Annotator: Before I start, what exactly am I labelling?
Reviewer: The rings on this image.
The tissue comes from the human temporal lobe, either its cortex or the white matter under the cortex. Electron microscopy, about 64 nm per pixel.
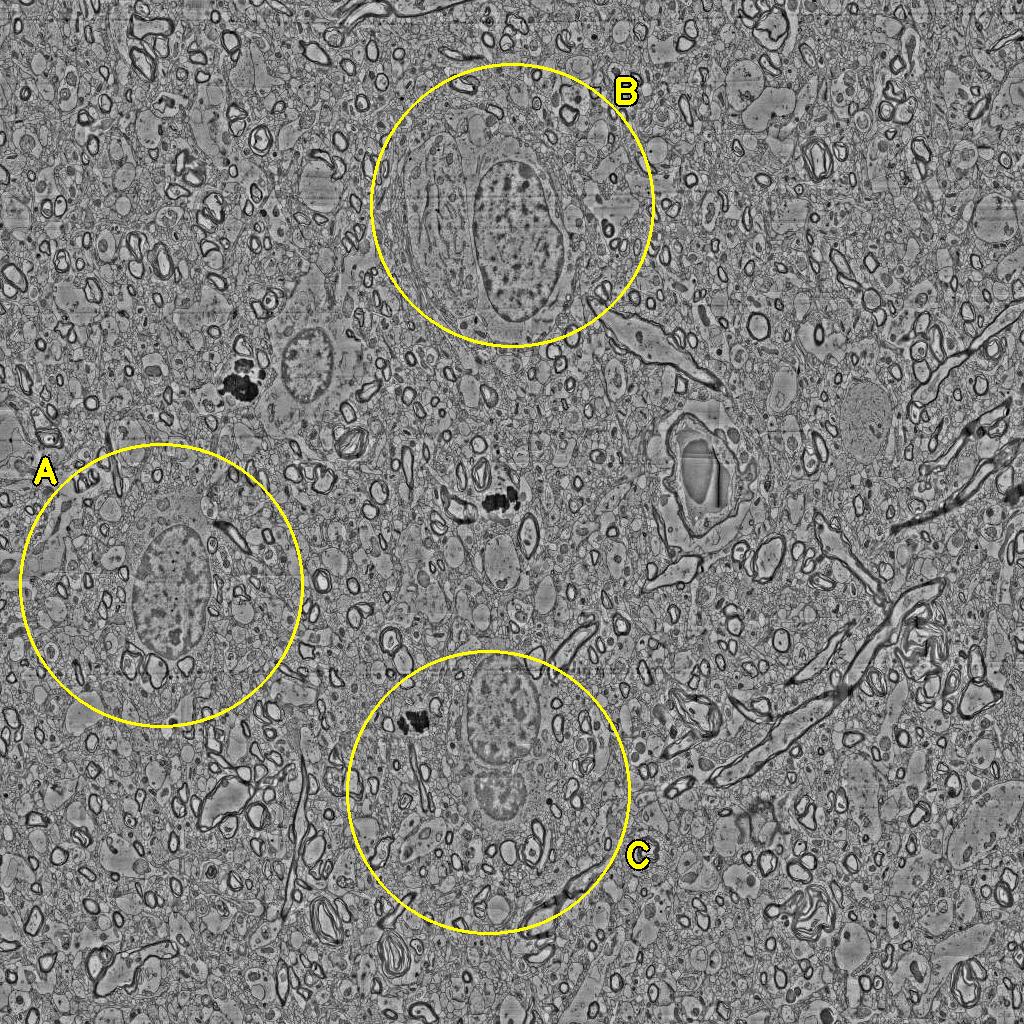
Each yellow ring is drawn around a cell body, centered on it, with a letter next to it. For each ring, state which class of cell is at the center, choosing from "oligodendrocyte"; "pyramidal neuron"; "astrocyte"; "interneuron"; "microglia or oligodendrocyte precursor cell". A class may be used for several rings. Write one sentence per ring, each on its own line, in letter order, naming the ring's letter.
At the center of ring A we have an oligodendrocyte.
At the center of ring B we have a microglial cell or oligodendrocyte precursor cell.
At the center of ring C we have an oligodendrocyte.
